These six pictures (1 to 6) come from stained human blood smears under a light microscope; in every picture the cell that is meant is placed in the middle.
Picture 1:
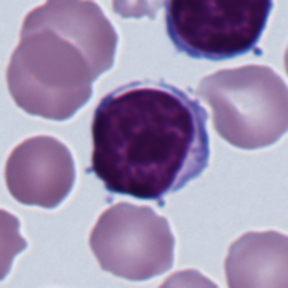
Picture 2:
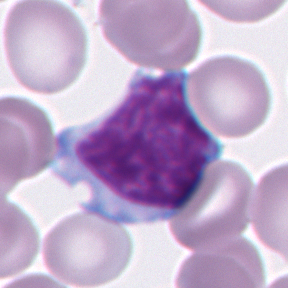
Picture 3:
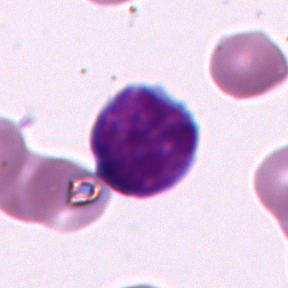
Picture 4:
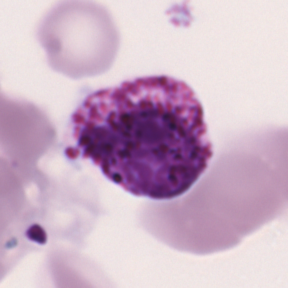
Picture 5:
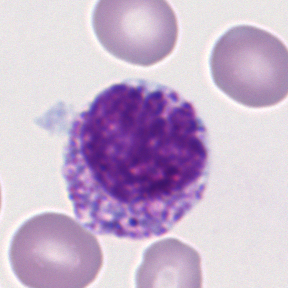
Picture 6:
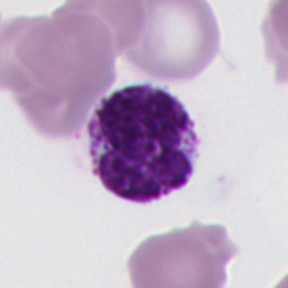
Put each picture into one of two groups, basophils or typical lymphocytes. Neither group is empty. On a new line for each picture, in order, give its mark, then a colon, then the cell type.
1: typical lymphocyte
2: typical lymphocyte
3: typical lymphocyte
4: basophil
5: basophil
6: basophil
